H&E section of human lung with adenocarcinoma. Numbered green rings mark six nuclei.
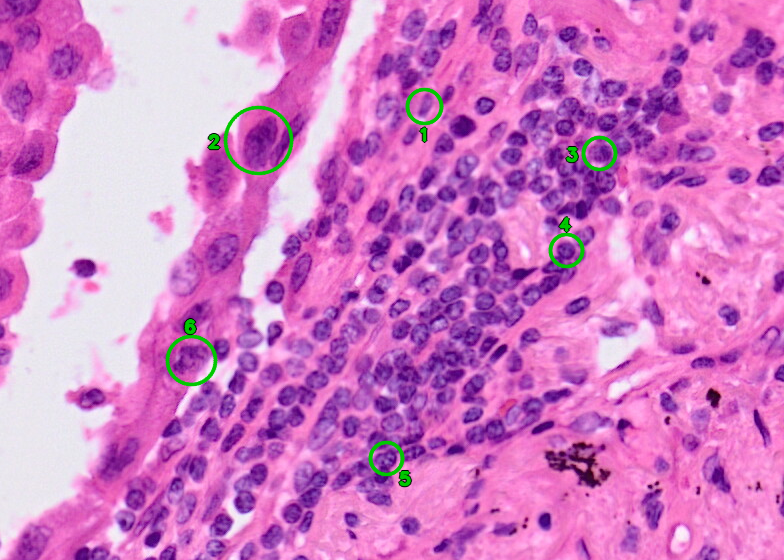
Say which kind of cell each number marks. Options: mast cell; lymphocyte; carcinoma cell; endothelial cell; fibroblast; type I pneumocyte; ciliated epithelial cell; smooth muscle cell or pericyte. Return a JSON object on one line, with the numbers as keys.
{"1": "lymphocyte", "2": "carcinoma cell", "3": "lymphocyte", "4": "lymphocyte", "5": "lymphocyte", "6": "carcinoma cell"}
